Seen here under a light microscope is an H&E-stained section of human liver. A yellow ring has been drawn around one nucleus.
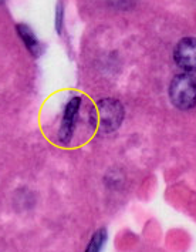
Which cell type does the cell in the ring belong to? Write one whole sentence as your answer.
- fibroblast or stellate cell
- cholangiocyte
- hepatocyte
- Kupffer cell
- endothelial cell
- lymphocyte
It is as a fibroblast or stellate cell that the cell in the ring is classified.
